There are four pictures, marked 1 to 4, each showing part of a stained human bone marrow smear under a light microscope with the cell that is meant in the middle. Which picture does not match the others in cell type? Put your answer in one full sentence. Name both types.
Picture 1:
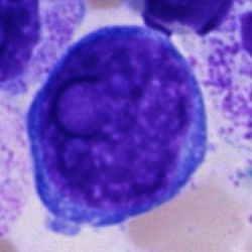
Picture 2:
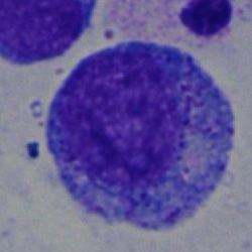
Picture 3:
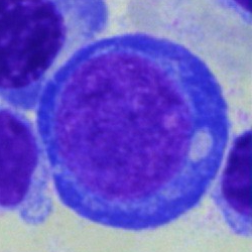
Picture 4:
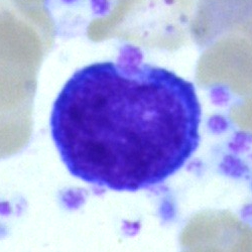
Picture 2 differs, because its cell is a promyelocyte and the rest are proerythroblasts.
